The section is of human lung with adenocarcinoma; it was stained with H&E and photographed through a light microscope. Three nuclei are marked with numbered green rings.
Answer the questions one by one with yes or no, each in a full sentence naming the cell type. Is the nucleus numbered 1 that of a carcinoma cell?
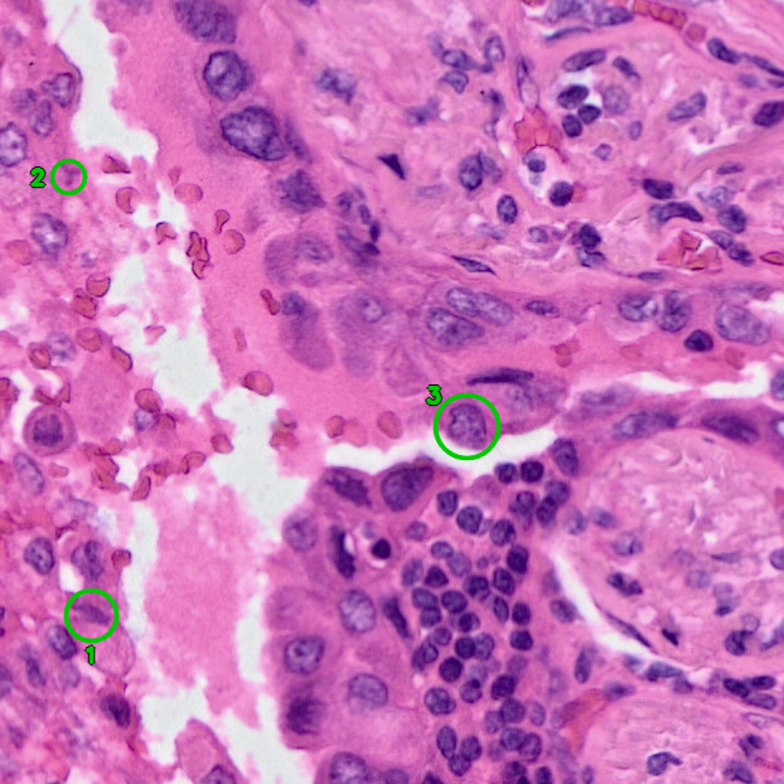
No, as for cell 1, it is a macrophage or monocyte and not a carcinoma cell.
